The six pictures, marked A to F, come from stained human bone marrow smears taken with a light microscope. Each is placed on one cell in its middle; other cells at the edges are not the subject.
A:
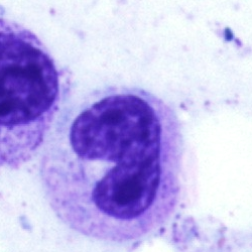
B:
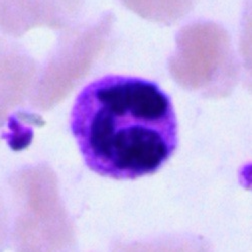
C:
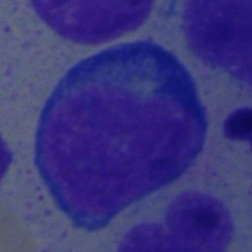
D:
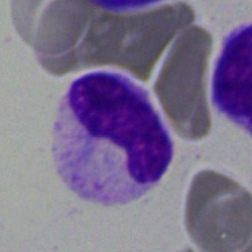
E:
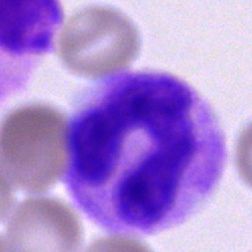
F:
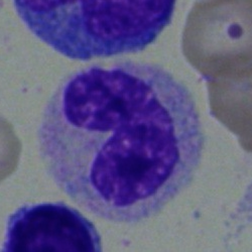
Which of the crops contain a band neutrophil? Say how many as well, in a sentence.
The crops with band neutrophils are four in number, namely A, D, E and F.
